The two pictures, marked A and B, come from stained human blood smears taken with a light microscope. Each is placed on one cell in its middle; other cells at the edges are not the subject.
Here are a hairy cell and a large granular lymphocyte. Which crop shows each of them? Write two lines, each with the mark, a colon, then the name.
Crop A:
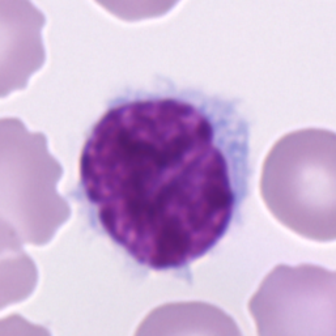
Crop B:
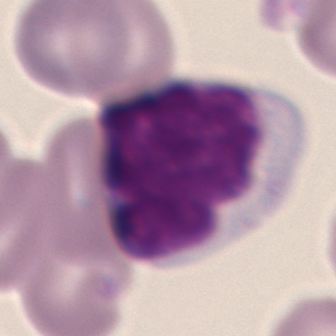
A: hairy cell
B: large granular lymphocyte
